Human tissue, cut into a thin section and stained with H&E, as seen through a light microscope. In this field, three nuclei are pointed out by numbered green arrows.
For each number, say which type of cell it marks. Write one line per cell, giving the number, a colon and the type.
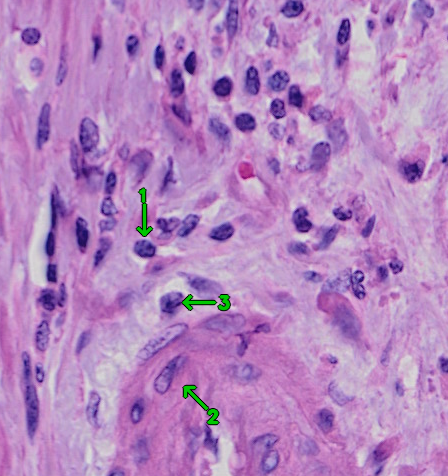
1: lymphocyte
2: smooth muscle cell
3: lymphocyte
